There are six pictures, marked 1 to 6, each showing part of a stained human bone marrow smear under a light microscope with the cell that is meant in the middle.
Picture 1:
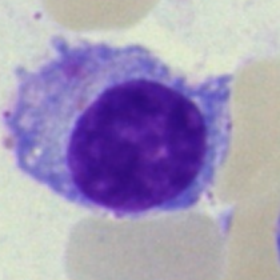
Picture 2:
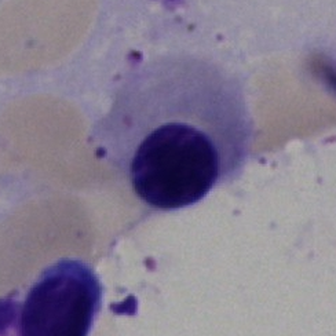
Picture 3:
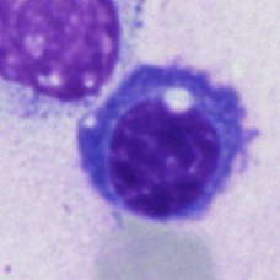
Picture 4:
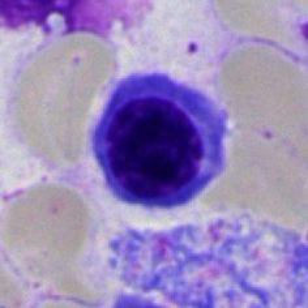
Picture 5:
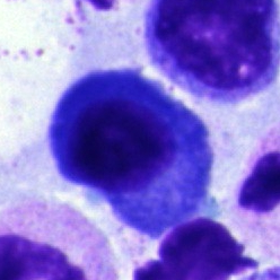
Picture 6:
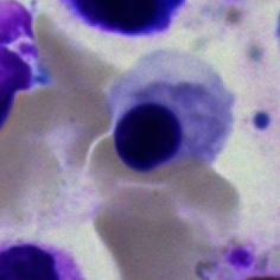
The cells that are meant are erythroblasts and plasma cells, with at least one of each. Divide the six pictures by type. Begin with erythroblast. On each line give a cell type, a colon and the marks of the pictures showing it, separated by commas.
erythroblast: 2, 4, 6
plasma cell: 1, 3, 5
